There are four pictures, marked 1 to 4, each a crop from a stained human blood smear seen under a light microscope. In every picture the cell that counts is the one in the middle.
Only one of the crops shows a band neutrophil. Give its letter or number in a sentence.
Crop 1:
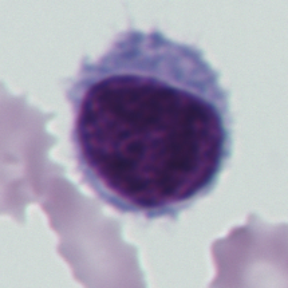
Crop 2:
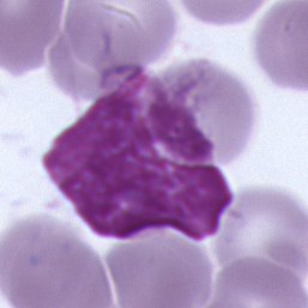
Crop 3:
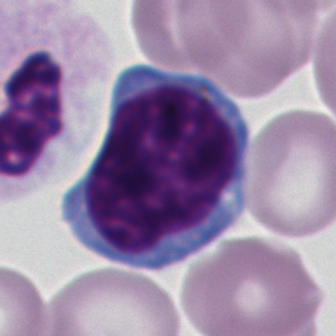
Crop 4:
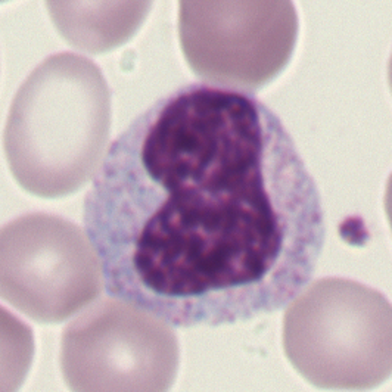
Crop 4 is the one in this set that shows a band neutrophil.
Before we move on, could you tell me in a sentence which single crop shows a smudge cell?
Among the crops, only crop 2 contains a smudge cell.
